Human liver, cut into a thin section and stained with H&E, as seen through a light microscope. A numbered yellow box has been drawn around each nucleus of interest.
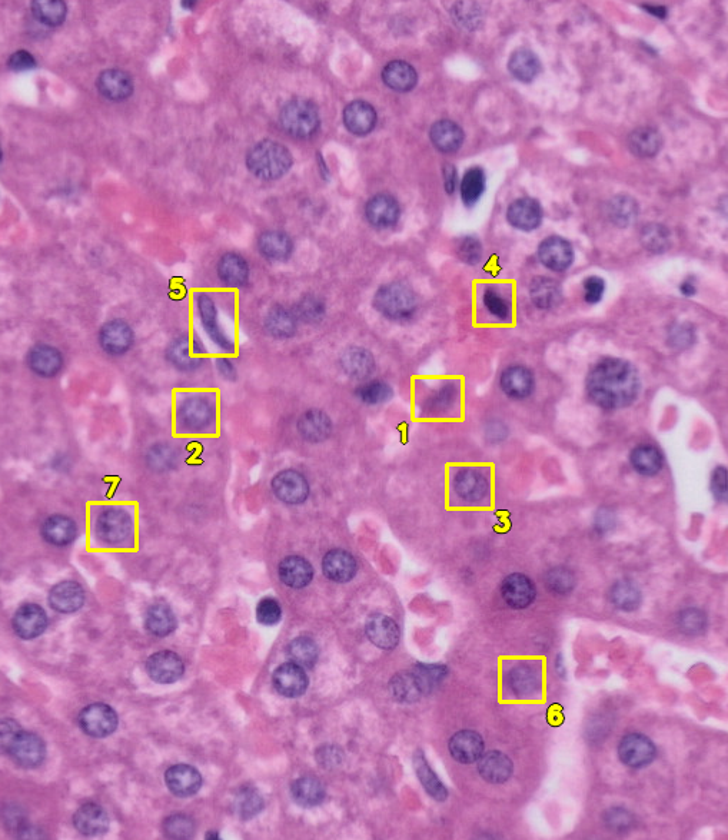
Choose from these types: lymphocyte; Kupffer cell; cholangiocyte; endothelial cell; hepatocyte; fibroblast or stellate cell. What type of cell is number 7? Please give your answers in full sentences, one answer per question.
Identified by the number 7, the cell is a hepatocyte.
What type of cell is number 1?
Classified as a Kupffer cell is the cell with the number 1.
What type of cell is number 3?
Regarding cell 3, this one is a hepatocyte.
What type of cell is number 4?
Marked with the number 4, this cell is a fibroblast or stellate cell.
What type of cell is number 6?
The numbered cell 6 in this field is a hepatocyte.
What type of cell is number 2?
Number 2 is placed on a hepatocyte here.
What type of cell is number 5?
The cell with the number 5 is a Kupffer cell.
